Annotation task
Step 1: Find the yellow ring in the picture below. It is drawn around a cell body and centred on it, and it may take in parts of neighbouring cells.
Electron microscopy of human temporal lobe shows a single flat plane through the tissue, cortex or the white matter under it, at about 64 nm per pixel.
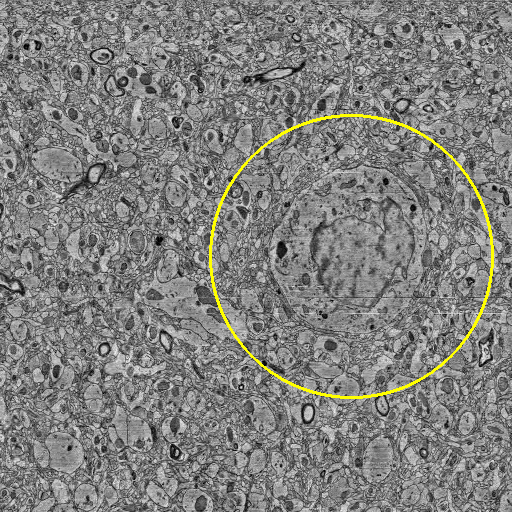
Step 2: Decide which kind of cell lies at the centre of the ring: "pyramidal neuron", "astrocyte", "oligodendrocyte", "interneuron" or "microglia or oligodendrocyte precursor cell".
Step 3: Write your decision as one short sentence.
The kind of cell at the ring's centre is an interneuron.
